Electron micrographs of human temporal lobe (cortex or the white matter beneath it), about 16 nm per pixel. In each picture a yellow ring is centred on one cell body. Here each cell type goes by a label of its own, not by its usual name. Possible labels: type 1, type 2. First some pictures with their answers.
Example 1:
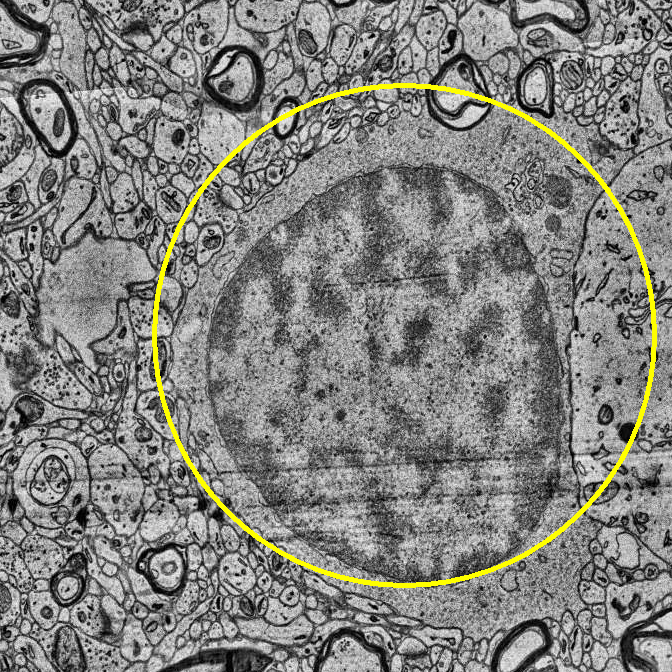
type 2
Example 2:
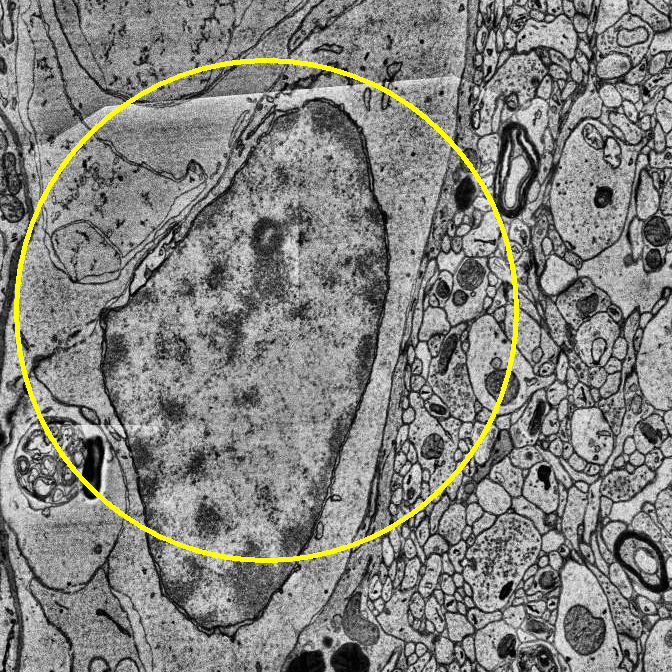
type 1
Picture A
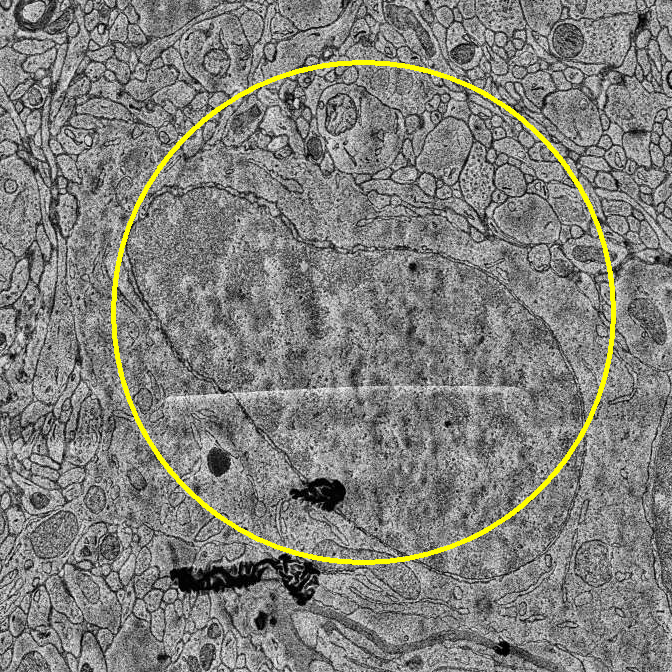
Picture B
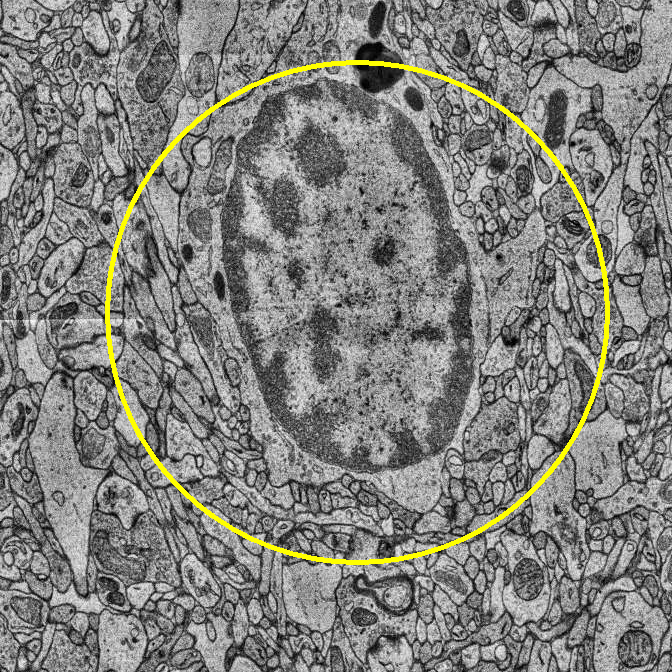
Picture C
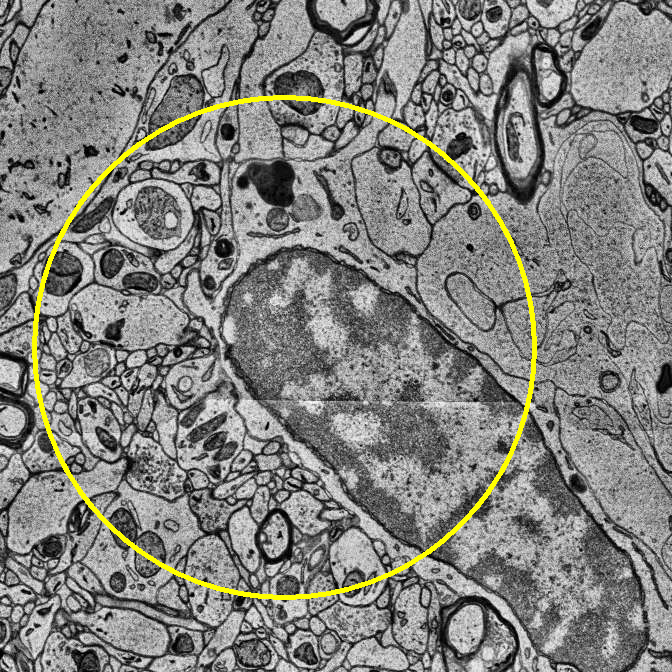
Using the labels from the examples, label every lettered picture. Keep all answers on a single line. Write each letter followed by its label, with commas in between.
A type 1, B type 1, C type 1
